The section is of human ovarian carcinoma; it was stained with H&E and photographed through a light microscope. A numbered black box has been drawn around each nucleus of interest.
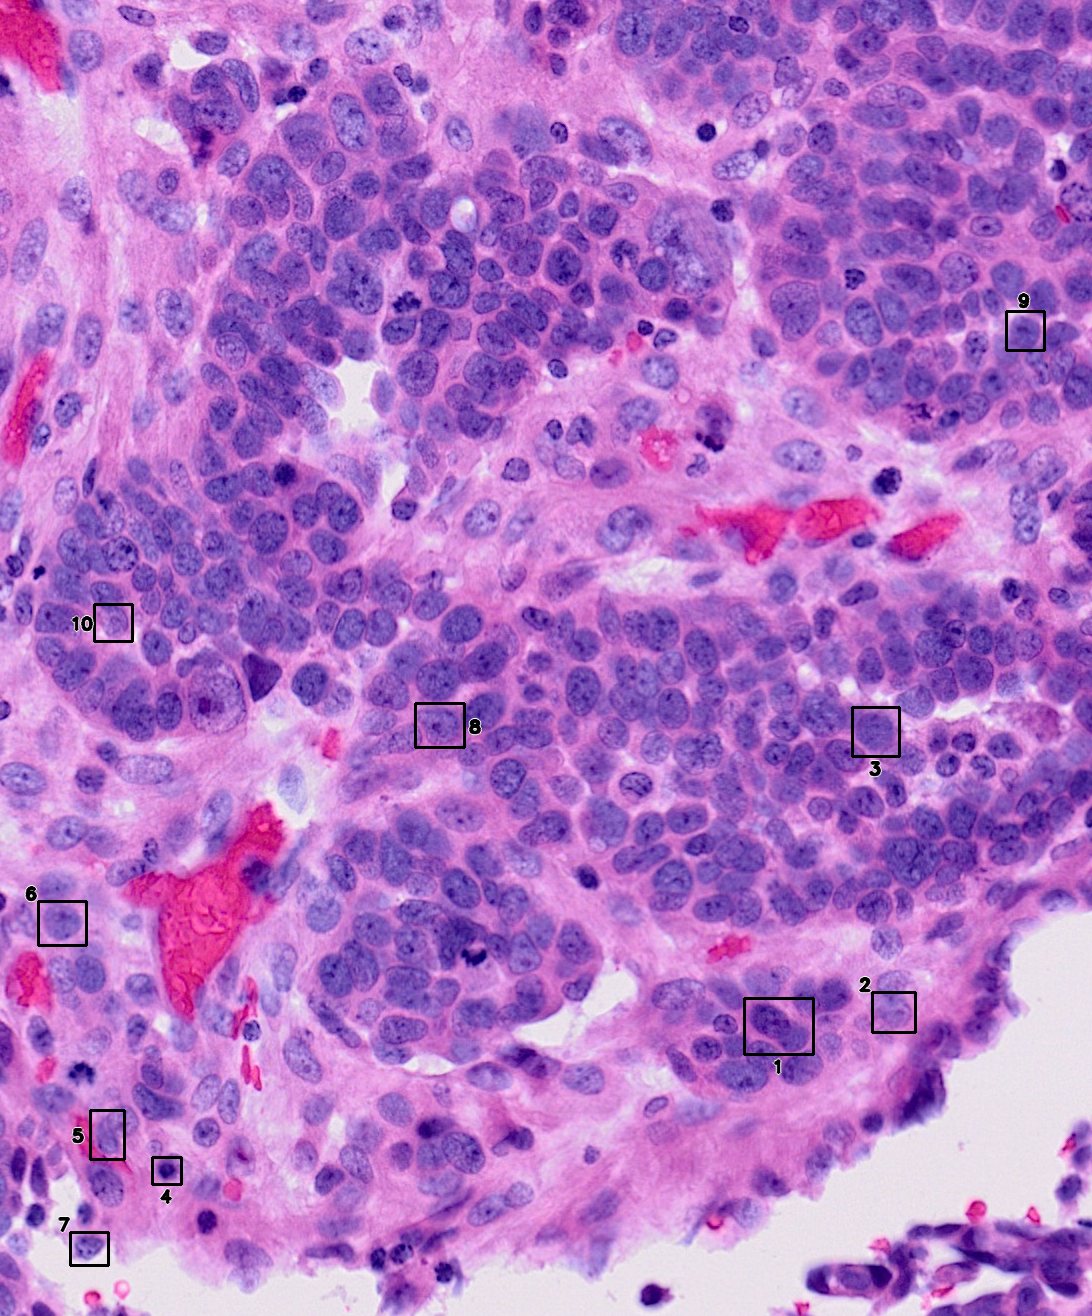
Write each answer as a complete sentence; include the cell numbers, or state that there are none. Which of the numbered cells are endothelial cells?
Only nucleus 5 belongs to an endothelial cell; the other numbered nuclei do not.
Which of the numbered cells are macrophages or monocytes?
It is only cell 7 that is a macrophage or monocyte among the numbered cells.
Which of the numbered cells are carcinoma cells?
The cells marked by the numbers 1, 3, 6, 8, 9 and 10 are carcinoma cells.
